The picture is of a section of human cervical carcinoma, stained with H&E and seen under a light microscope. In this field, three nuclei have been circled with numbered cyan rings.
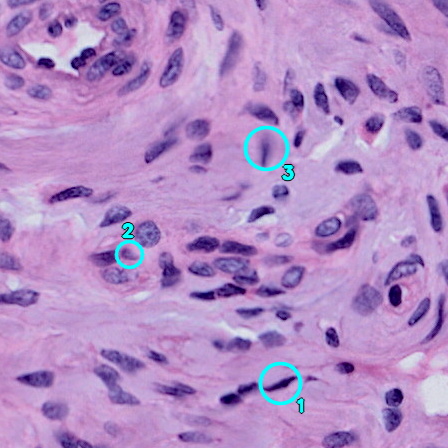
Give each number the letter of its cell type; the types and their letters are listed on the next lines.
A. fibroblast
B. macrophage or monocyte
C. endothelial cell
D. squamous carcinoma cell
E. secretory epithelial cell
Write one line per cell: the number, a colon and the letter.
1: A
2: C
3: A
